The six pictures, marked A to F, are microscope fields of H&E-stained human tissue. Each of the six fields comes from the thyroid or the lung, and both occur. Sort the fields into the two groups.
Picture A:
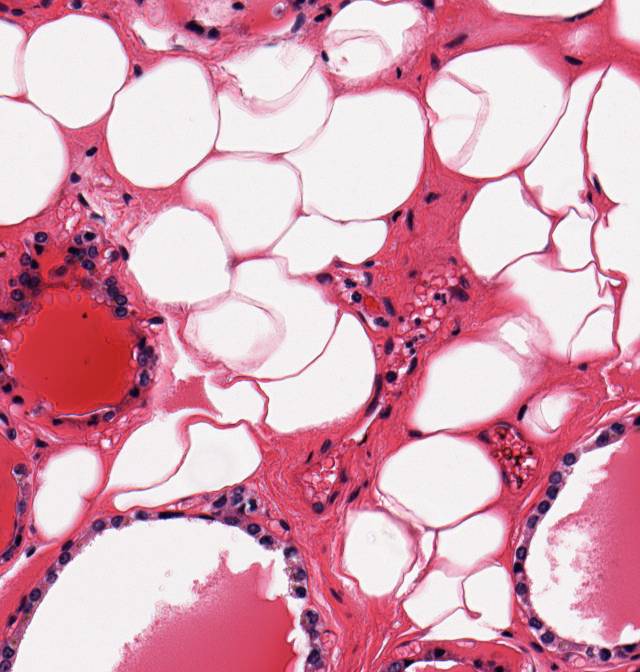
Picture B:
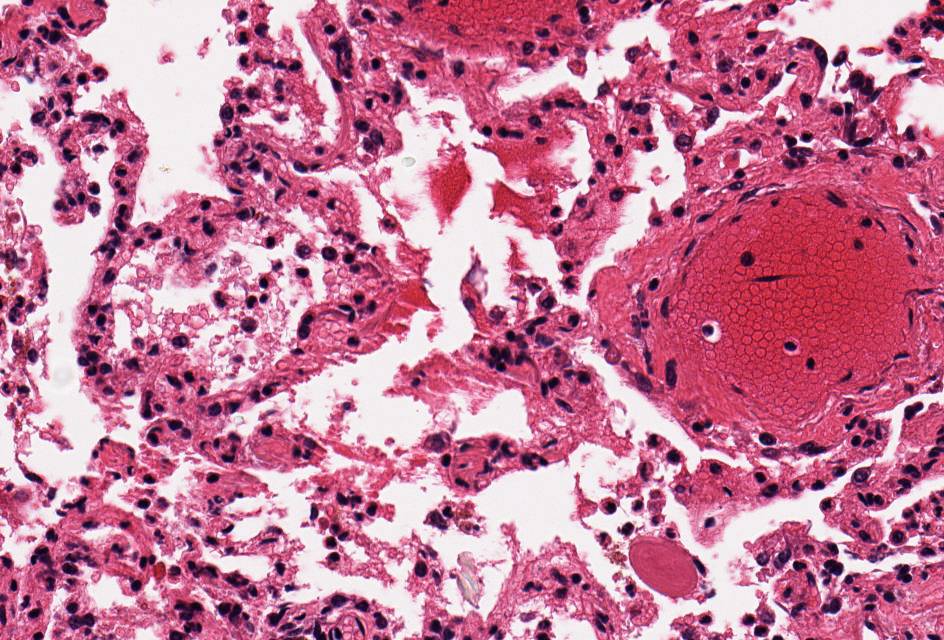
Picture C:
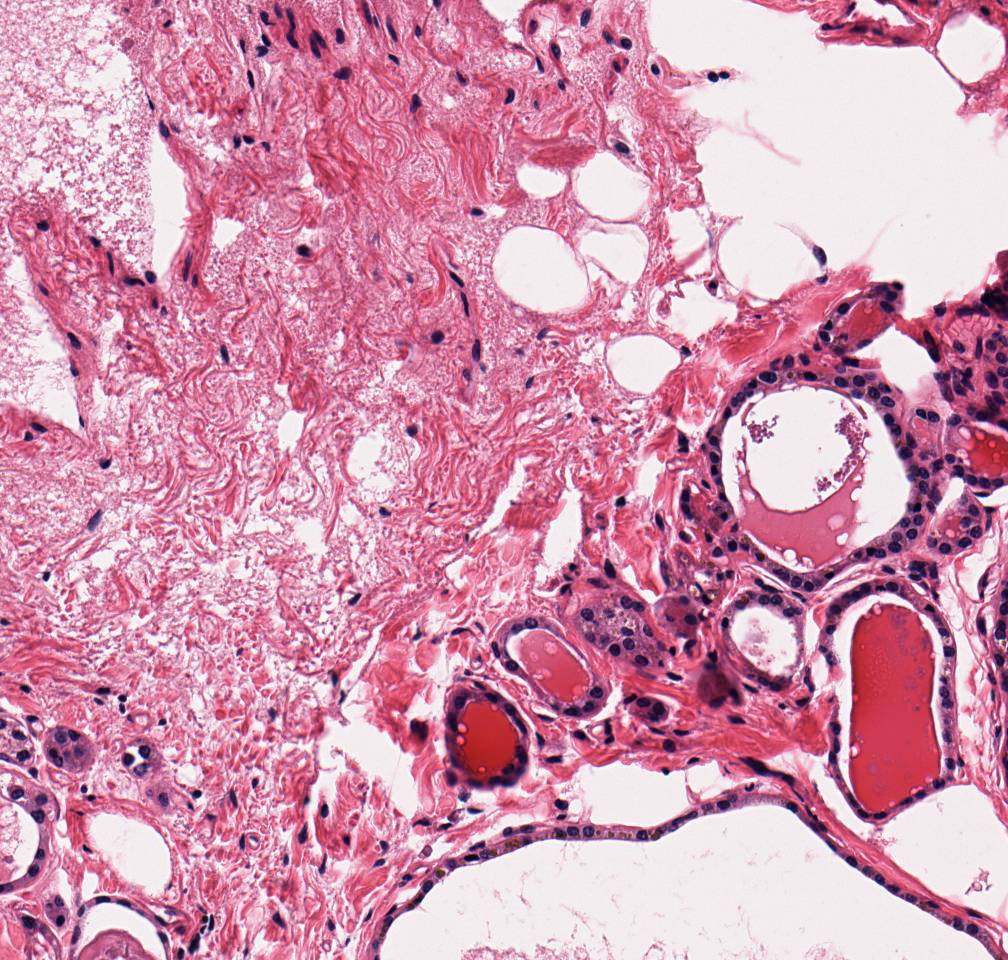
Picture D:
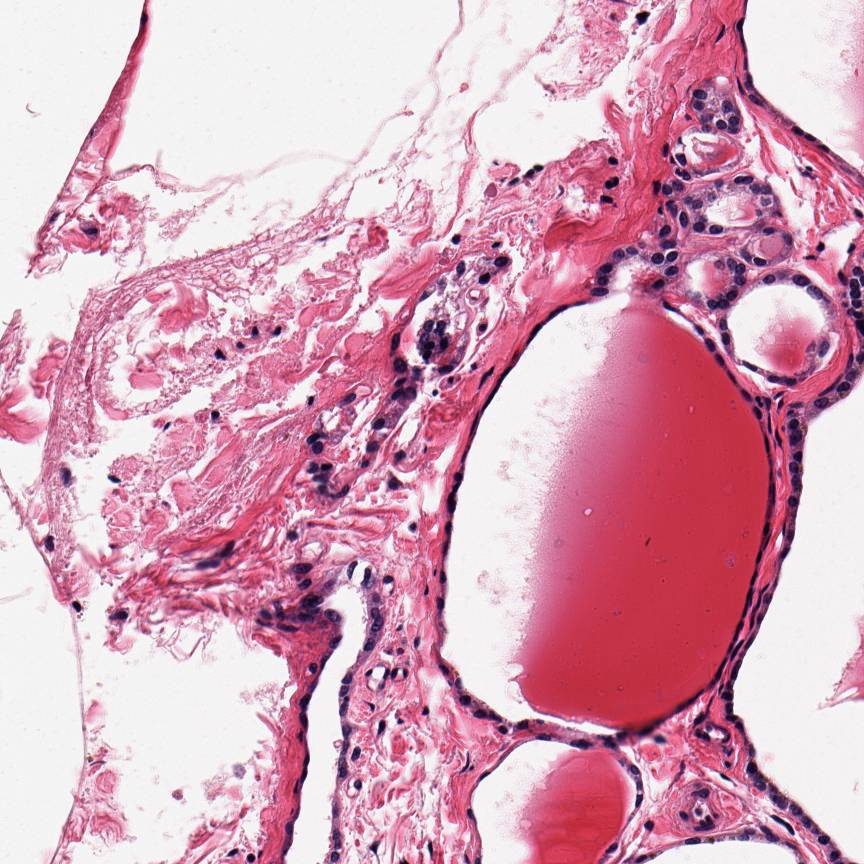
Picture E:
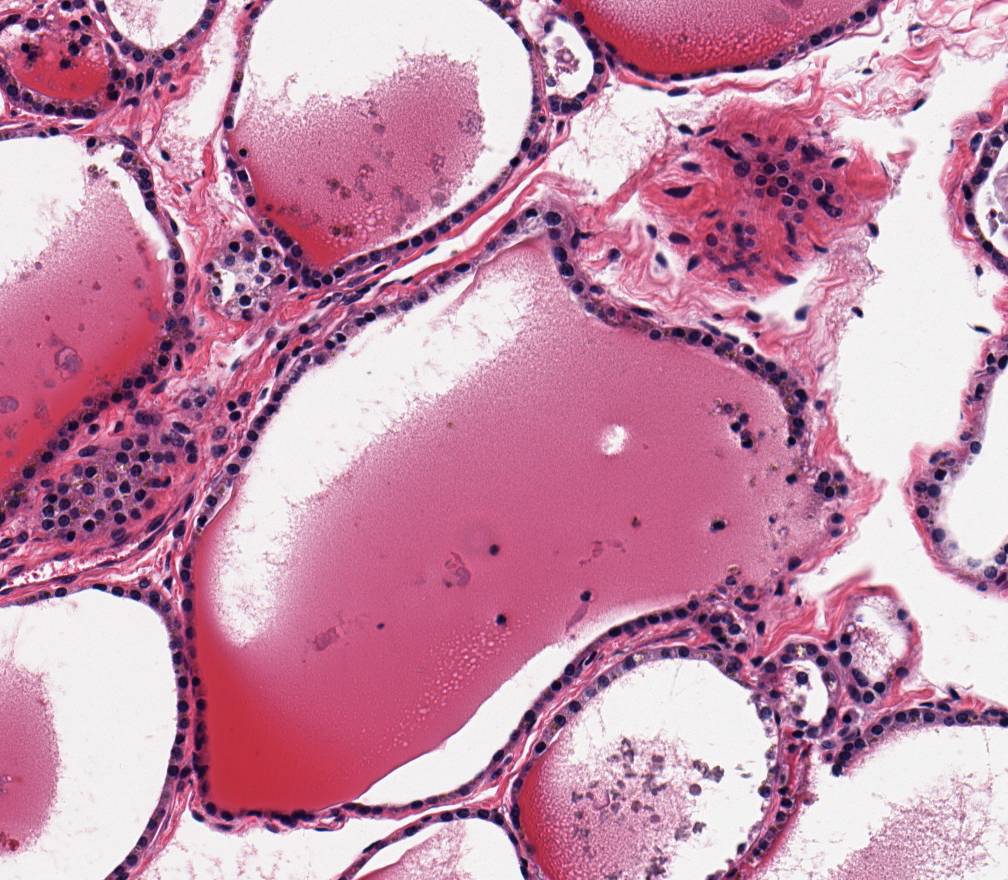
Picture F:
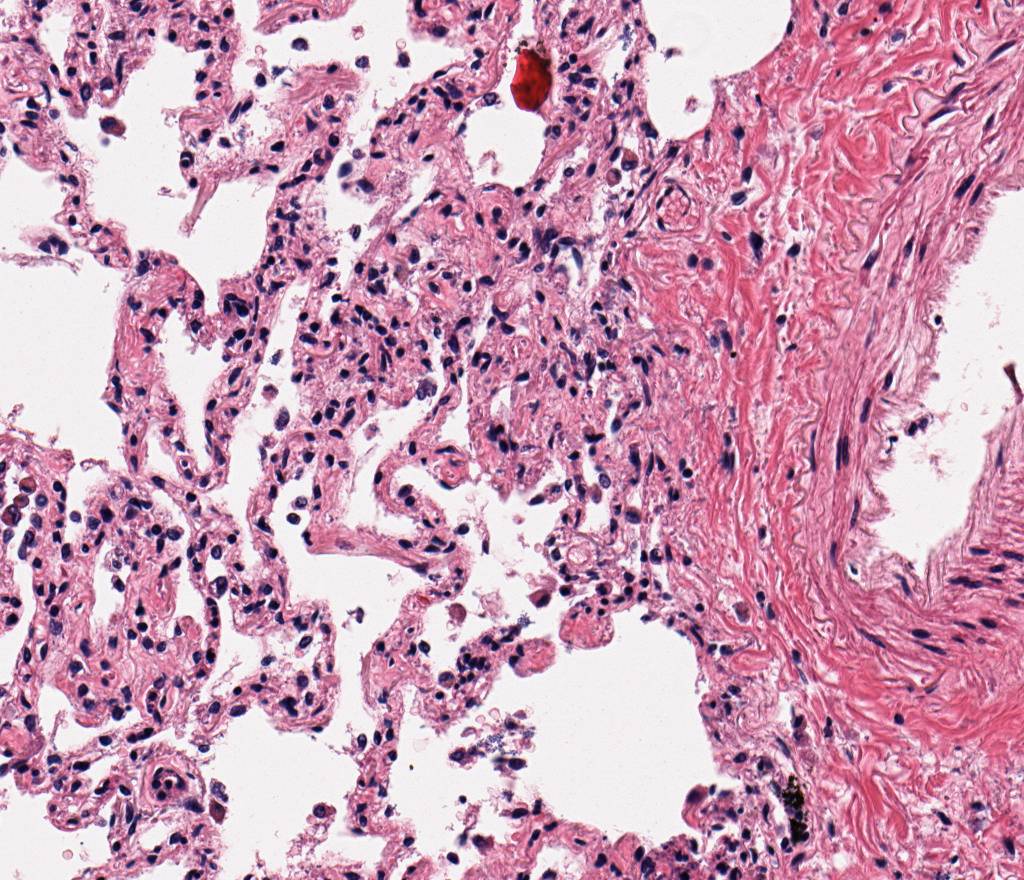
A: thyroid
B: lung
C: thyroid
D: thyroid
E: thyroid
F: lung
